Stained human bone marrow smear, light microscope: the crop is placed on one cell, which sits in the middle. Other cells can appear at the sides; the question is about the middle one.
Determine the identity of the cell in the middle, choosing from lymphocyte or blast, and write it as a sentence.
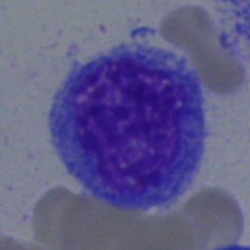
In the crop, the cell of interest at the centre is a blast.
